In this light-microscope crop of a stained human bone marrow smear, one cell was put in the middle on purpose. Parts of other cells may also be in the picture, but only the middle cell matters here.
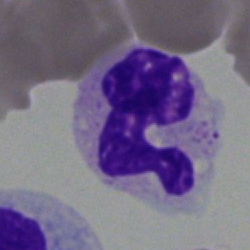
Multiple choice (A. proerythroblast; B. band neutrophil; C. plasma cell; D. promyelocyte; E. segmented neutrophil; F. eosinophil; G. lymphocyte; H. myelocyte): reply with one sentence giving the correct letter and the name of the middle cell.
The centrally positioned cell is a segmented neutrophil, consistent with option E, which is correct.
